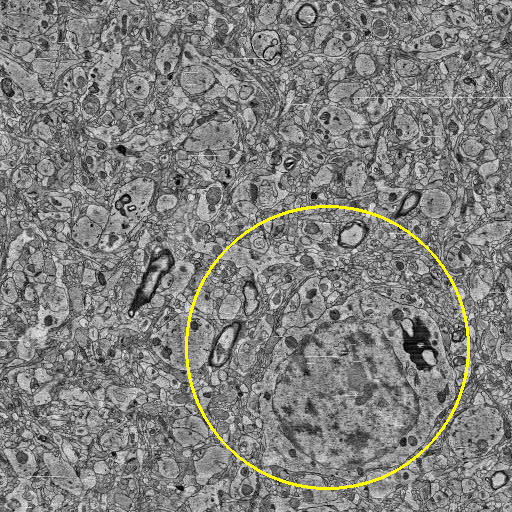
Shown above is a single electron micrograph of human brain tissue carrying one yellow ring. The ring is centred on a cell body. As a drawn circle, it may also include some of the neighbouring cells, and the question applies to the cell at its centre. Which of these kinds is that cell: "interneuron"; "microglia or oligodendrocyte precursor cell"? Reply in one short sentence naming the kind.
The cell marked by the ring is an interneuron.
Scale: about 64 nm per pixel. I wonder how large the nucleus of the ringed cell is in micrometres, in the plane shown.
The nucleus of the ringed cell is approximately 10 micrometres across in this plane.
